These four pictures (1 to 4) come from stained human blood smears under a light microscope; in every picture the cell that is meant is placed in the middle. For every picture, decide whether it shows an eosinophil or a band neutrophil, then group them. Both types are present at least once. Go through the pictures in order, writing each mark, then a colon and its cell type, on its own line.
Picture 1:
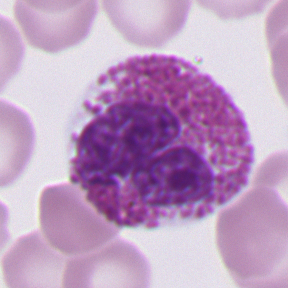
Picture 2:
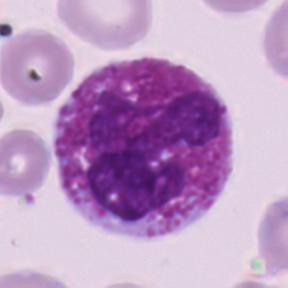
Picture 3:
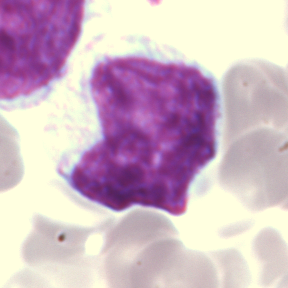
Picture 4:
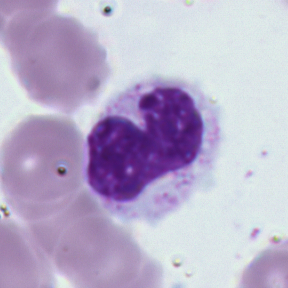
1: eosinophil
2: eosinophil
3: band neutrophil
4: band neutrophil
